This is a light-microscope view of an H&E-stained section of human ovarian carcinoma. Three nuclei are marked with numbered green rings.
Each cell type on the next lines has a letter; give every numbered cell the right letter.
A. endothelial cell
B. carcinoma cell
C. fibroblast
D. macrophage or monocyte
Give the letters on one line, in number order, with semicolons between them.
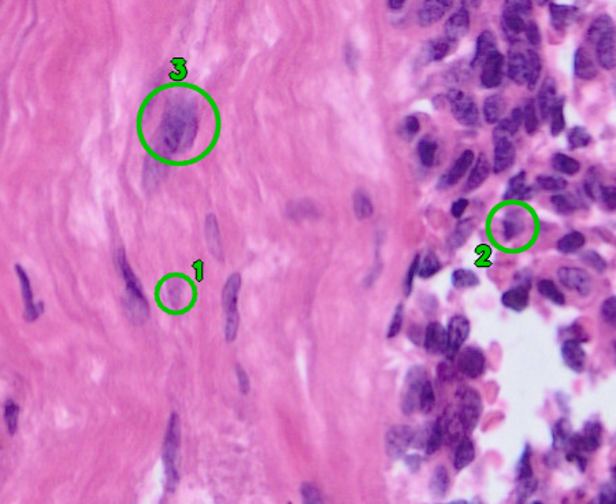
C; D; C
